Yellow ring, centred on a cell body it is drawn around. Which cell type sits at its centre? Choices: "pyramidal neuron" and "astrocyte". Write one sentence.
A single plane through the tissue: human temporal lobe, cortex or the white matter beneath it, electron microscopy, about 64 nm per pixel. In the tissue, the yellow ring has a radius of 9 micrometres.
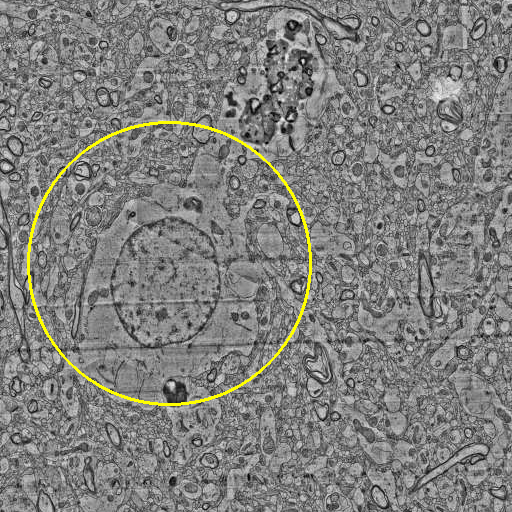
At the centre of the ring sits an astrocyte.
